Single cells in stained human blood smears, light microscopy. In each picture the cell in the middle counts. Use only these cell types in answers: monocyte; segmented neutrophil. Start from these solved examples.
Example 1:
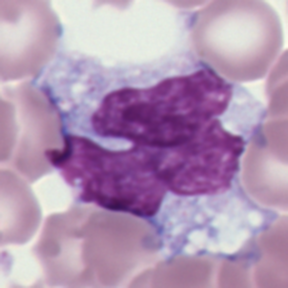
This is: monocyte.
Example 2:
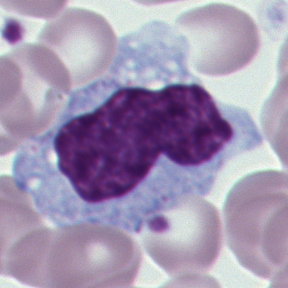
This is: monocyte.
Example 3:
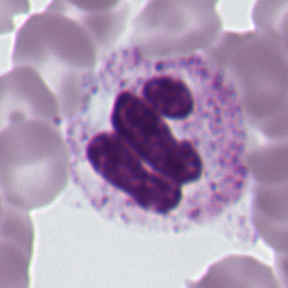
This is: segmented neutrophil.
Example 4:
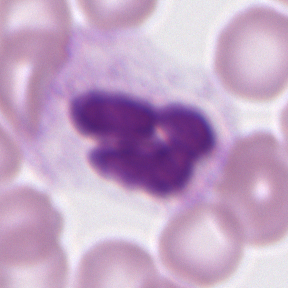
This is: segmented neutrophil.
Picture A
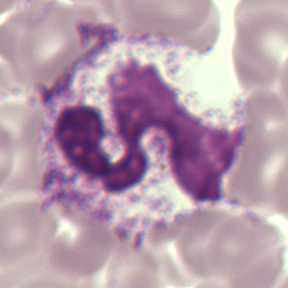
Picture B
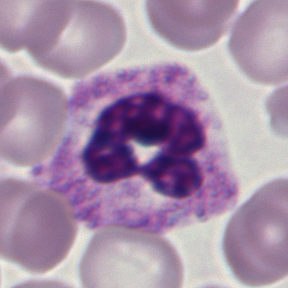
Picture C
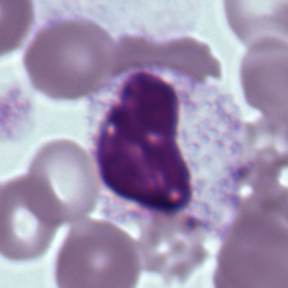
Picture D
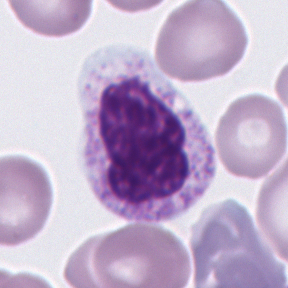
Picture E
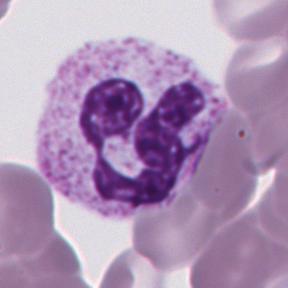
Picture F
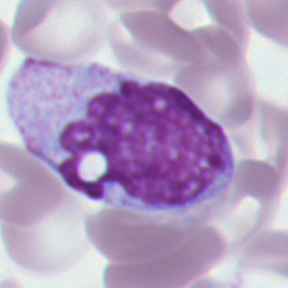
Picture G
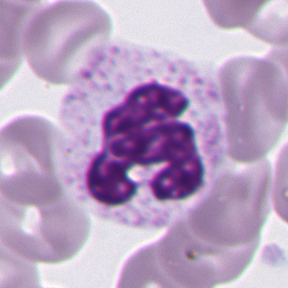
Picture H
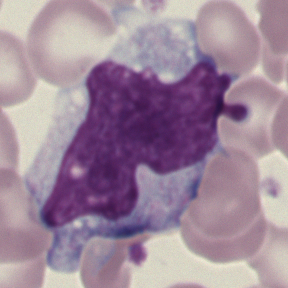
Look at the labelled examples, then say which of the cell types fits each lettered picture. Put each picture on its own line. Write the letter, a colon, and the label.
A: segmented neutrophil.
B: segmented neutrophil.
C: segmented neutrophil.
D: segmented neutrophil.
E: segmented neutrophil.
F: monocyte.
G: segmented neutrophil.
H: monocyte.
